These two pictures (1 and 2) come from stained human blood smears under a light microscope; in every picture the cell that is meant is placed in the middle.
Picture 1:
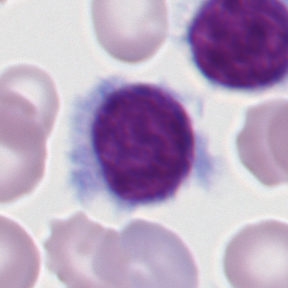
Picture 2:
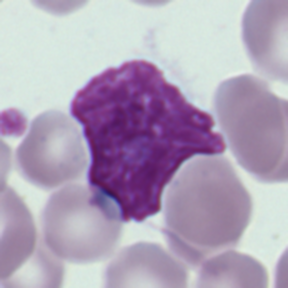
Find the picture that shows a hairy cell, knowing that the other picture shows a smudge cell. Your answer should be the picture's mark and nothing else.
1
